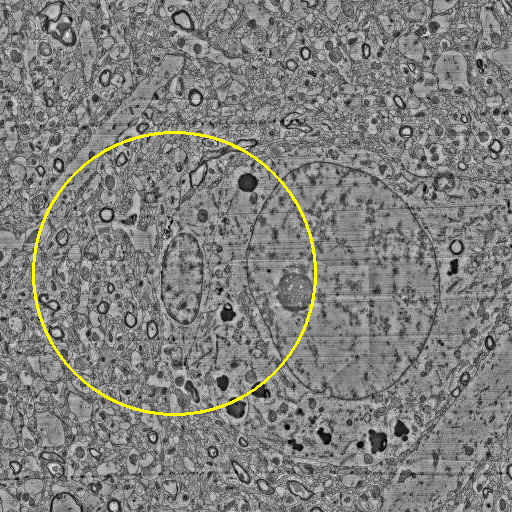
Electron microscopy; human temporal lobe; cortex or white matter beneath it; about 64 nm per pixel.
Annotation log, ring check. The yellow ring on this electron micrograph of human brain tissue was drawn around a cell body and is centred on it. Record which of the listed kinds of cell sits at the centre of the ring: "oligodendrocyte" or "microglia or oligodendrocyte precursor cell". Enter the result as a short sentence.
The cell at the centre of the ring is a microglial cell or oligodendrocyte precursor cell.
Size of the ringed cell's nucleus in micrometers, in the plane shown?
In this plane the nucleus spans approximately 6 by 3 micrometers.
